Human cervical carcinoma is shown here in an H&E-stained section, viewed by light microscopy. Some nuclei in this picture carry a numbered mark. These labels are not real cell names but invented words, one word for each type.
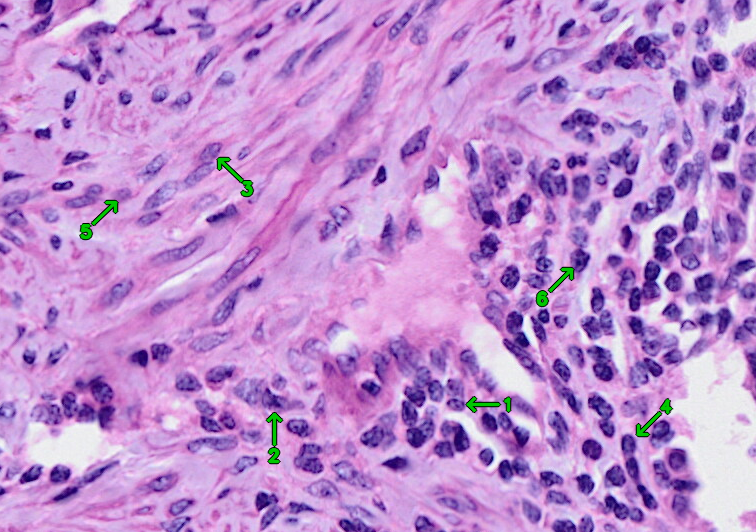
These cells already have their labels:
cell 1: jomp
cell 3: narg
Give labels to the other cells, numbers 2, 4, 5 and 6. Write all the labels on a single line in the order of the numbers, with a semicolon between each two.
jomp; jomp; narg; jomp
